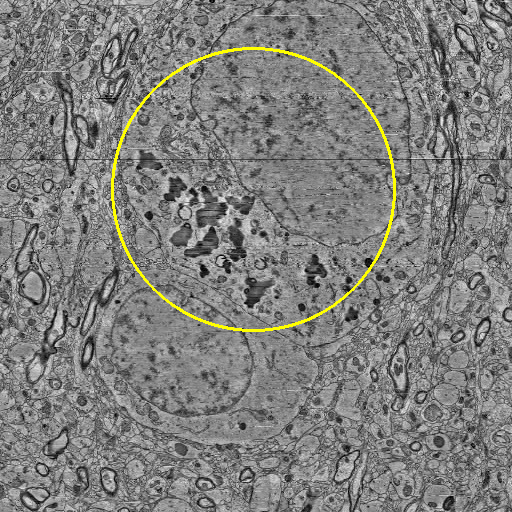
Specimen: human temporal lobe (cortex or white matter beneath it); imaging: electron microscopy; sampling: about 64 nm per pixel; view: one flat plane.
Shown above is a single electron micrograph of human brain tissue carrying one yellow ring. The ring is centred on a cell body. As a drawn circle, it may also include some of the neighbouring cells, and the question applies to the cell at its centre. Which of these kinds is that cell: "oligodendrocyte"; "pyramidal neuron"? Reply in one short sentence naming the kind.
The cell marked by the ring is a pyramidal neuron.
